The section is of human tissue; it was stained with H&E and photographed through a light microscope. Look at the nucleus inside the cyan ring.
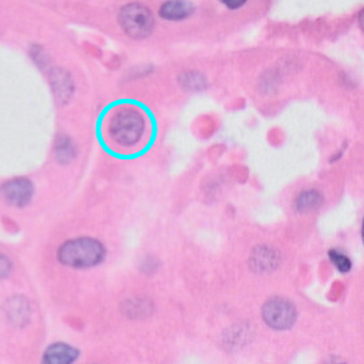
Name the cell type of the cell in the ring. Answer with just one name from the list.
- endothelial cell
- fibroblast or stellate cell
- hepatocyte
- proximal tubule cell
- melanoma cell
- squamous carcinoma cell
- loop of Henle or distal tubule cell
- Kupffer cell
proximal tubule cell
